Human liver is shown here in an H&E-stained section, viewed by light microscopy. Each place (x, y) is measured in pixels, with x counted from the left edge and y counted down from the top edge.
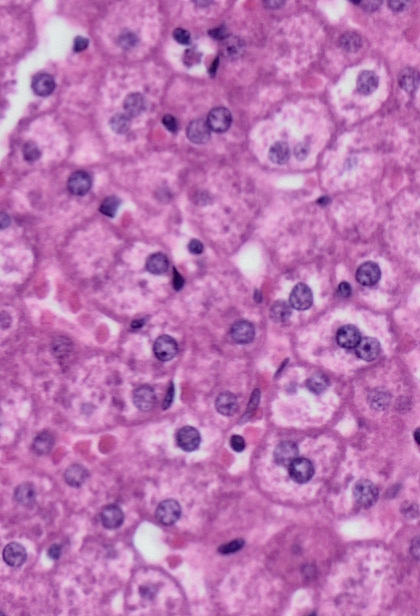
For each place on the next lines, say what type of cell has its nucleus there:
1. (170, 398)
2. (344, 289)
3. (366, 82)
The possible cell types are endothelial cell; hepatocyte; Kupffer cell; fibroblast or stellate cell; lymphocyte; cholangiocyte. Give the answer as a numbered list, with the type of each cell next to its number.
1. endothelial cell
2. Kupffer cell
3. hepatocyte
